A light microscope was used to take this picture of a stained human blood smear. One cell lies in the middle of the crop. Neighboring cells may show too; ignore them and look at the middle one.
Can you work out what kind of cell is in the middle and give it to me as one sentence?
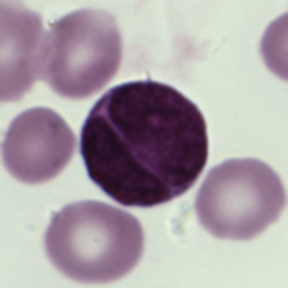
The centrally placed cell is classified as a myeloblast.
